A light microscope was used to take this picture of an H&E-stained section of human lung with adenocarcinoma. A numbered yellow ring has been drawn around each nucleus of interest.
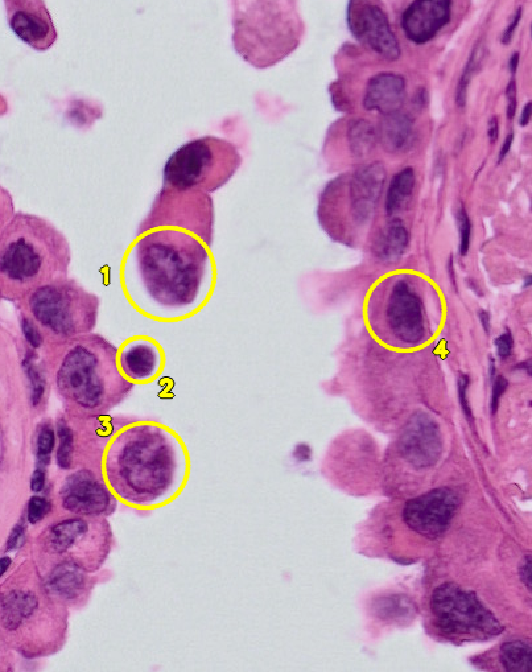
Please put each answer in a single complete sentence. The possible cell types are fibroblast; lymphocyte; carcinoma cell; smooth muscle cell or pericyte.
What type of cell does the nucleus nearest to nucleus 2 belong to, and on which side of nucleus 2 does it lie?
The nearest one is a carcinoma cell, found to the left of nucleus 2.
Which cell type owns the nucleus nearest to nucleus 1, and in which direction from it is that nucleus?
The nearest one is a lymphocyte, found below nucleus 1.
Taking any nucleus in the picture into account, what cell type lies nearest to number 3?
The nearest nucleus to number 3 belongs to a carcinoma cell.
